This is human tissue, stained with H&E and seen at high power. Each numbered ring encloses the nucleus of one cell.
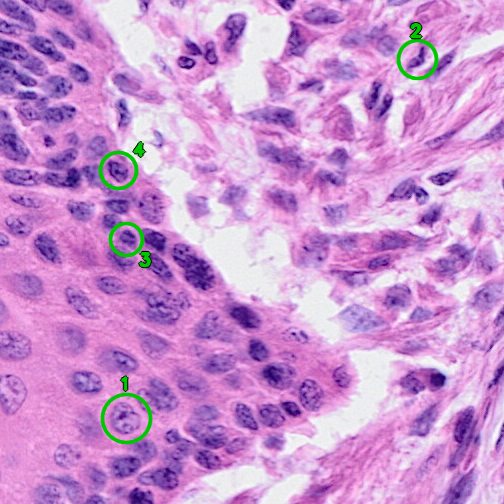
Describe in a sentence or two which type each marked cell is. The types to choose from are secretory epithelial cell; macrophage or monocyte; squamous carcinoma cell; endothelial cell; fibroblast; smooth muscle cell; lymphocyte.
Cells 1, 3 and 4 are squamous carcinoma cells. Cell 2 is a fibroblast.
